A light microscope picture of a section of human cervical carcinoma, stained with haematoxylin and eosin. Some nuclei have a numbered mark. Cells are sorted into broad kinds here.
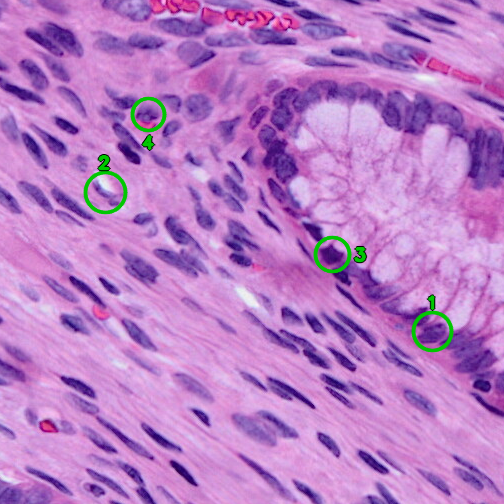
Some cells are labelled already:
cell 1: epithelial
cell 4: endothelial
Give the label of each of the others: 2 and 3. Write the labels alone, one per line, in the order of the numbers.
endothelial
epithelial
